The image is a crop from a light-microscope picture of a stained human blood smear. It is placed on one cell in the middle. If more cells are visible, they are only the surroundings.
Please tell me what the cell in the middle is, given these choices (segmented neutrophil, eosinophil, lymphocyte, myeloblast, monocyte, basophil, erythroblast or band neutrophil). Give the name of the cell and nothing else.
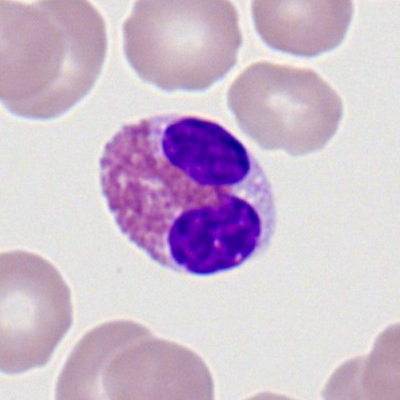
eosinophil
